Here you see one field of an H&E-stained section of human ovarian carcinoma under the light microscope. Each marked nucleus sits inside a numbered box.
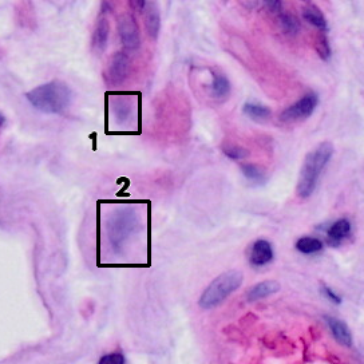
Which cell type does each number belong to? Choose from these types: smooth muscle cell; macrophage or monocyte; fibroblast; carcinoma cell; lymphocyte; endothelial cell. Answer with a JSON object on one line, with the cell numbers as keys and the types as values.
{"1": "smooth muscle cell", "2": "fibroblast"}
